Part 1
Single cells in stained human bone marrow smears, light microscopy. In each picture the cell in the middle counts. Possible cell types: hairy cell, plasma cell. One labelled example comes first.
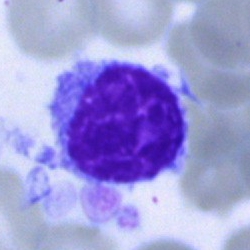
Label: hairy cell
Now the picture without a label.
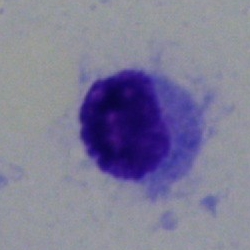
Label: hairy cell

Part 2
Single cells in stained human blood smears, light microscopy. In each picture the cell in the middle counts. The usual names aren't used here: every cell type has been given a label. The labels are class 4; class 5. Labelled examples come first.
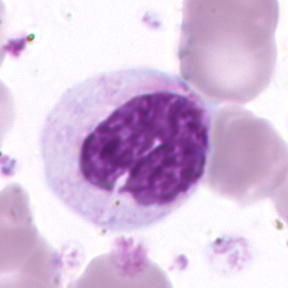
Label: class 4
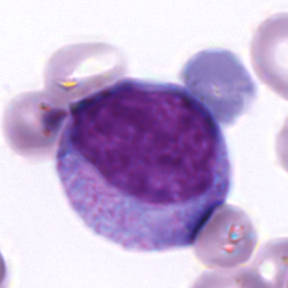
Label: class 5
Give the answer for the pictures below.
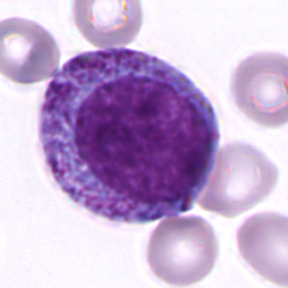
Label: class 5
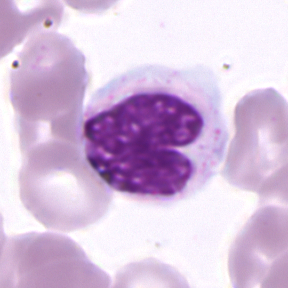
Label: class 4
